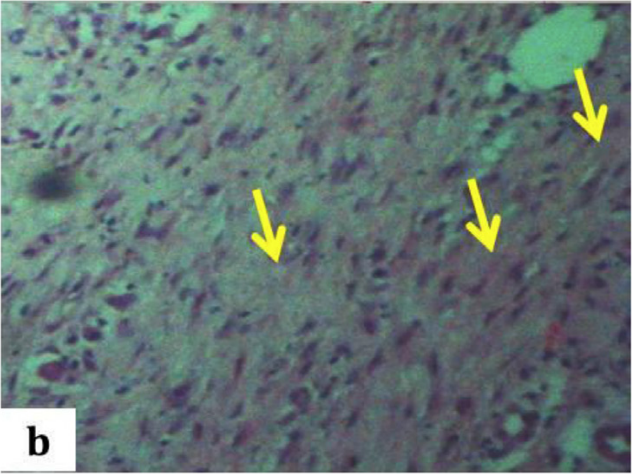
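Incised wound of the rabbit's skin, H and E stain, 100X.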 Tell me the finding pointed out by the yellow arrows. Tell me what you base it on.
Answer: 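Fibroplasia. The field is densely packed with elongated spindle-shaped nuclei. The spindle cells run in roughly parallel streams between fibrous material.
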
